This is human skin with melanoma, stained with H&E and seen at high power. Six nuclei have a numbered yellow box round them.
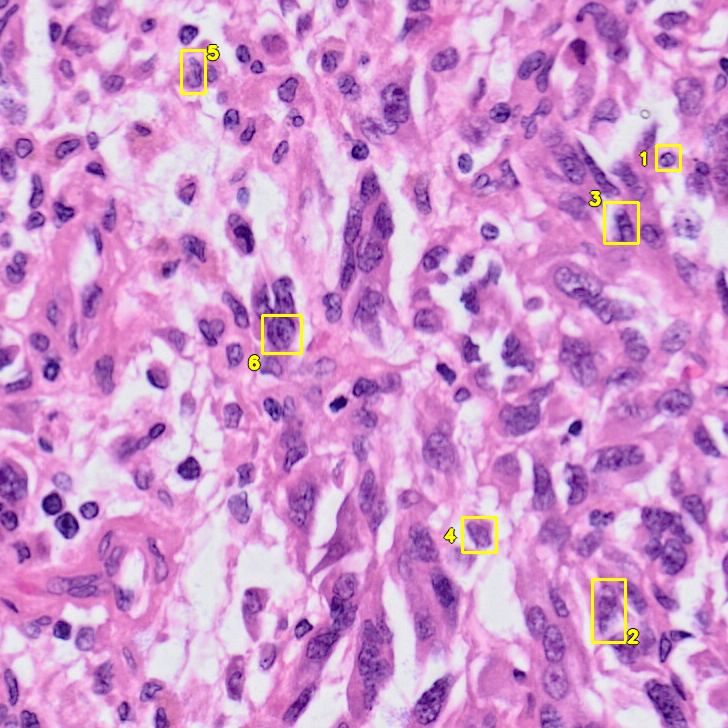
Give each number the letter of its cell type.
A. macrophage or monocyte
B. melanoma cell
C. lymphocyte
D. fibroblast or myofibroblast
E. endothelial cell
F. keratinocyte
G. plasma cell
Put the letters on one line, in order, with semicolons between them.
C; B; B; B; A; B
